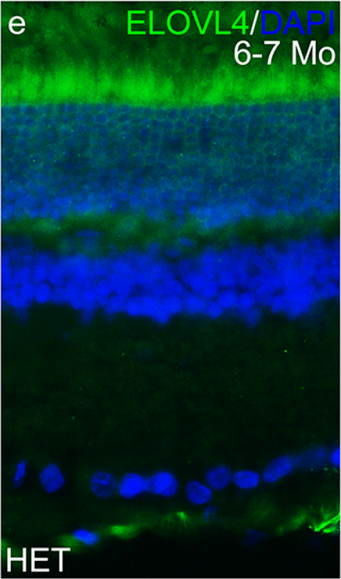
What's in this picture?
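Cross-section of retina with layers running from photoreceptors at the top to the ganglion cell layer at the bottom. The photoreceptor layer forms a bright green band at the outer edge, and green rims surround the small, densely packed nuclei of the thick outer nuclear layer below it. A narrow outer plexiform layer separates this from the inner nuclear layer of larger blue nuclei with little green. A wide dark inner plexiform layer follows, nearly free of nuclei. A single row of nuclei forms the ganglion cell layer at the bottom, with thin green streaks along the inner surface.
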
